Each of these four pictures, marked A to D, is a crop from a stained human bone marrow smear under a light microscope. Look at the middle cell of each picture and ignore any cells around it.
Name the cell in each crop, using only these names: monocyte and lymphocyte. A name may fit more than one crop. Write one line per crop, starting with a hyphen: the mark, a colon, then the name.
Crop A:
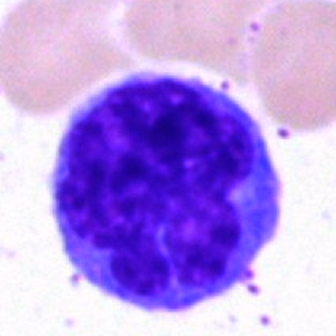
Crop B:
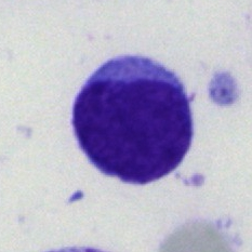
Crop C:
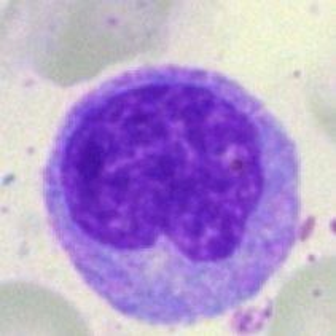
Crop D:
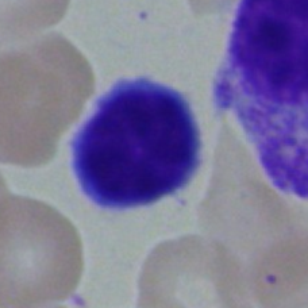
- A: monocyte
- B: lymphocyte
- C: monocyte
- D: lymphocyte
